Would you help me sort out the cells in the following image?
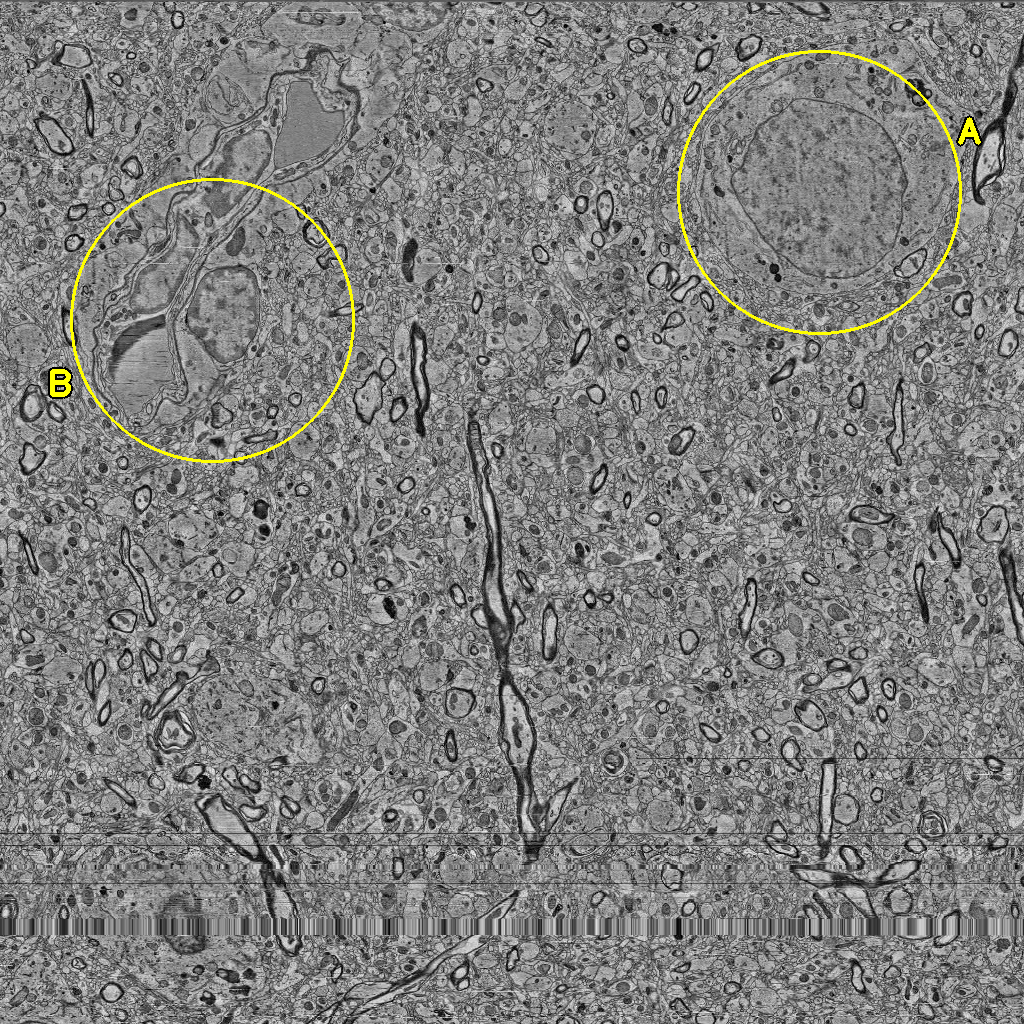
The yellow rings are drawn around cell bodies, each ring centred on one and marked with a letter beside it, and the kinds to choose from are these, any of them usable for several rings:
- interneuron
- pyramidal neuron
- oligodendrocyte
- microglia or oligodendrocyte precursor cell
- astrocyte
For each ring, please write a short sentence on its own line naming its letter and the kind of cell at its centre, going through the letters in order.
Ring A is centred on the cell body of a pyramidal neuron.
Ring B is centred on the cell body of a microglial cell or oligodendrocyte precursor cell.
